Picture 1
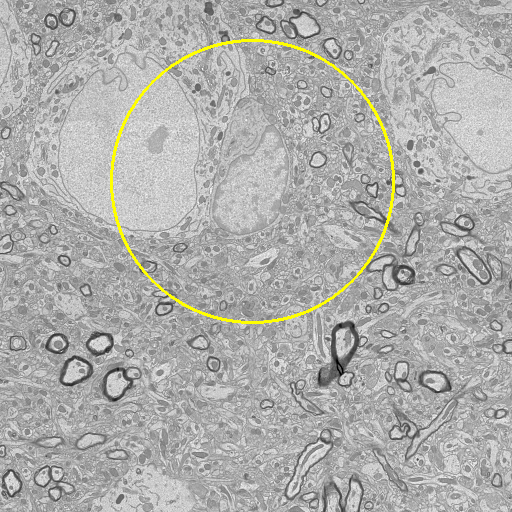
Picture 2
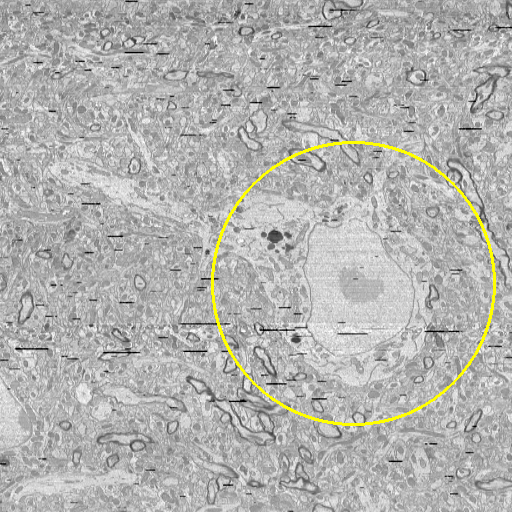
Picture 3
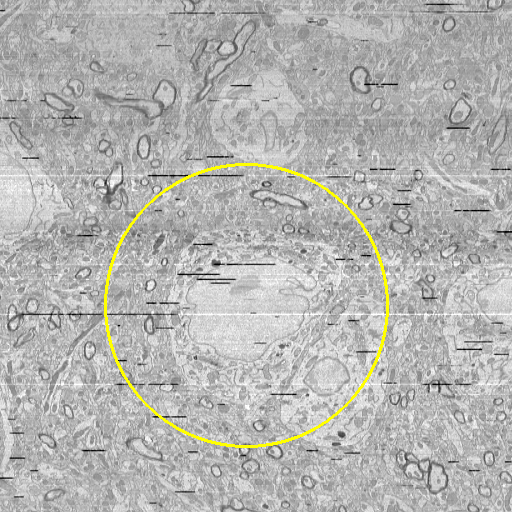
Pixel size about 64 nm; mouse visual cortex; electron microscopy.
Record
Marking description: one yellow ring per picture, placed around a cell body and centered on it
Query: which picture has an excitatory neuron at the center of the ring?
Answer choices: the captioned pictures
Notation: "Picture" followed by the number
Picture 2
